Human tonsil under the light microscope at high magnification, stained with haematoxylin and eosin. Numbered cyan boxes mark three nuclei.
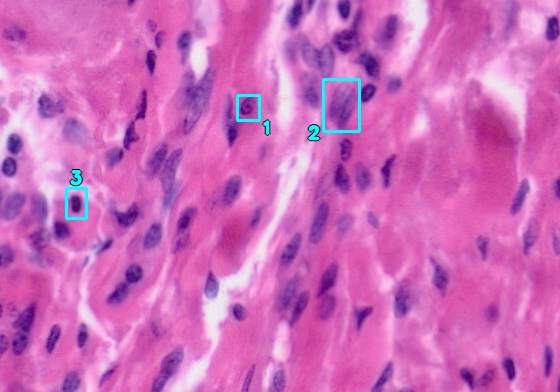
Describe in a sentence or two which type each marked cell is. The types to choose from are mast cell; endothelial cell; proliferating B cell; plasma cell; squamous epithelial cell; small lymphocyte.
Cell 1 is a mast cell, cell 2 is an endothelial cell and cell 3 is a mast cell.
